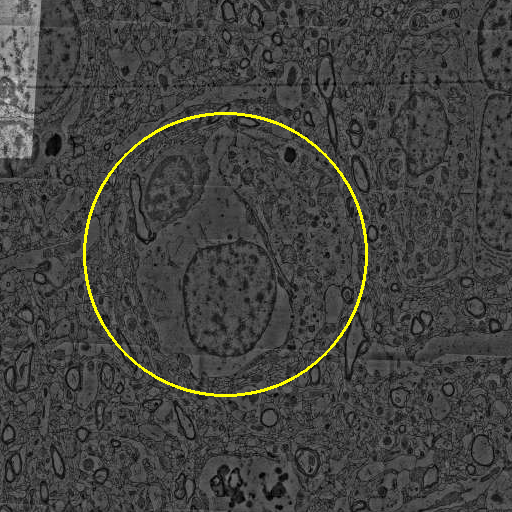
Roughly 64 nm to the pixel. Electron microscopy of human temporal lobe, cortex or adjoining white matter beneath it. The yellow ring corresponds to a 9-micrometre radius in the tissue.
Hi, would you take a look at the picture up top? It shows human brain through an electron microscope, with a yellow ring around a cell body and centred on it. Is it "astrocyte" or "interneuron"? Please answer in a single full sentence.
The best fit for the cell in the middle of the ring is an astrocyte, I reckon.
